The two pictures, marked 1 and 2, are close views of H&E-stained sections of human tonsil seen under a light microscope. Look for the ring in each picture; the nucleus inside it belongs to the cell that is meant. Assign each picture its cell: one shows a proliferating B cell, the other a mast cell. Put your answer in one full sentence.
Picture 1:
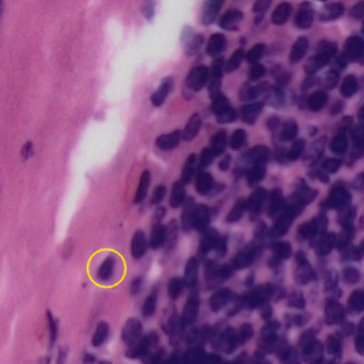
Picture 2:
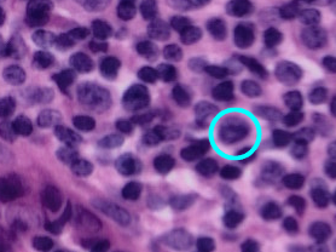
Picture 1 is of a mast cell, and picture 2 is of a proliferating B cell.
